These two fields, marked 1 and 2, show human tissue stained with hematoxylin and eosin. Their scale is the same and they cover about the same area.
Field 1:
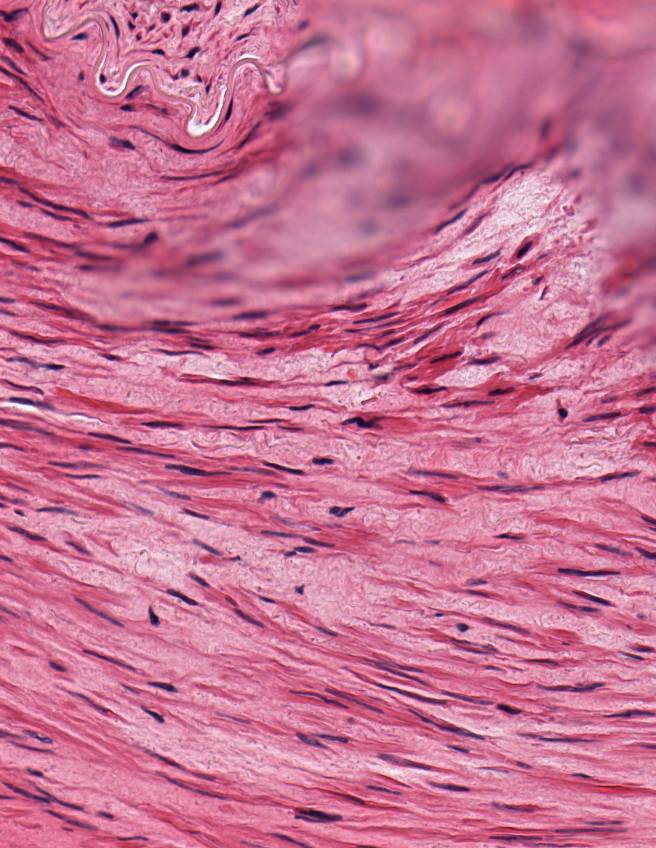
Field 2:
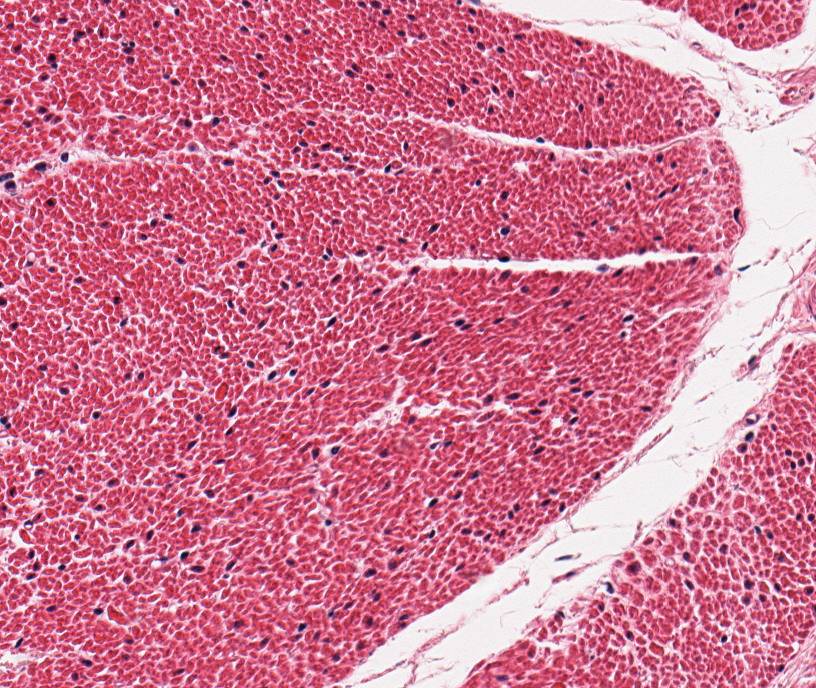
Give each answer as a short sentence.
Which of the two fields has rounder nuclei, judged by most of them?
The nuclei are rounder in field 2.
